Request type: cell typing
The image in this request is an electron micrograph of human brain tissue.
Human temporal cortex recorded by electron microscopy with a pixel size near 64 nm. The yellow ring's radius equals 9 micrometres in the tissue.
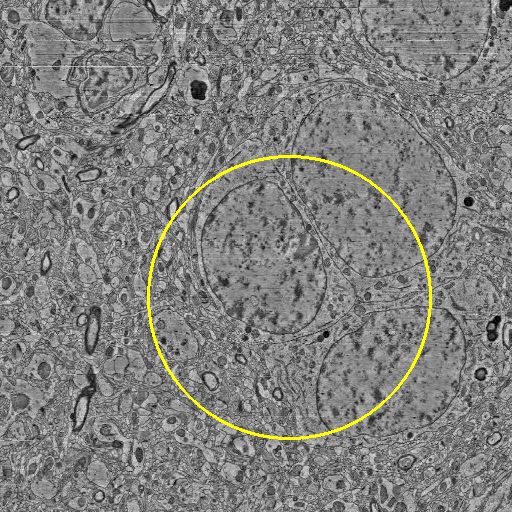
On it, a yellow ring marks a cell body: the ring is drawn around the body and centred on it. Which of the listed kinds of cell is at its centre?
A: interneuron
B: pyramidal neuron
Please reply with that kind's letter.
B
